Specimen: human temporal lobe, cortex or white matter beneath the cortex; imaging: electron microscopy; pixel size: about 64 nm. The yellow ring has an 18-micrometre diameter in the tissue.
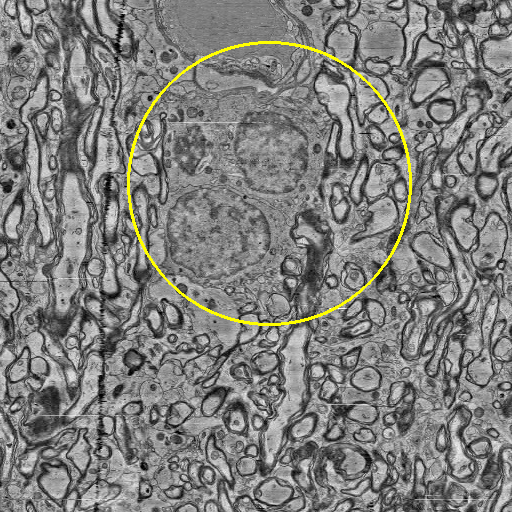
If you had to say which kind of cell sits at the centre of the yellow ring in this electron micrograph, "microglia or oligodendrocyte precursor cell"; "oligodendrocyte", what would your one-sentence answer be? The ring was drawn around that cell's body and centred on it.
The cell sitting at the centre of the ring is an oligodendrocyte.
